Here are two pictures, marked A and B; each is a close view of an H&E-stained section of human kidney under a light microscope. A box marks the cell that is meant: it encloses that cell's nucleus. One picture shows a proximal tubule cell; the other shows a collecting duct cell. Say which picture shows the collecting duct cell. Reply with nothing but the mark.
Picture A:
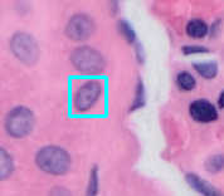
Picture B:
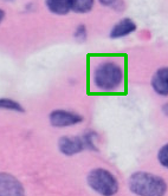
B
